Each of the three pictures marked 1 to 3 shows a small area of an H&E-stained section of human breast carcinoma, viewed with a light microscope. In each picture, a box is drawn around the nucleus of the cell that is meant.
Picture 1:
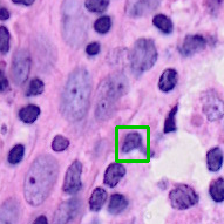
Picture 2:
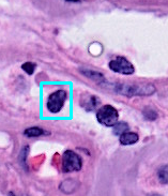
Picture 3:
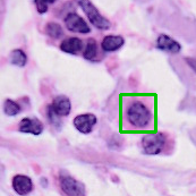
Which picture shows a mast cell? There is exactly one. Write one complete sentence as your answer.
Picture 3 shows the mast cell.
